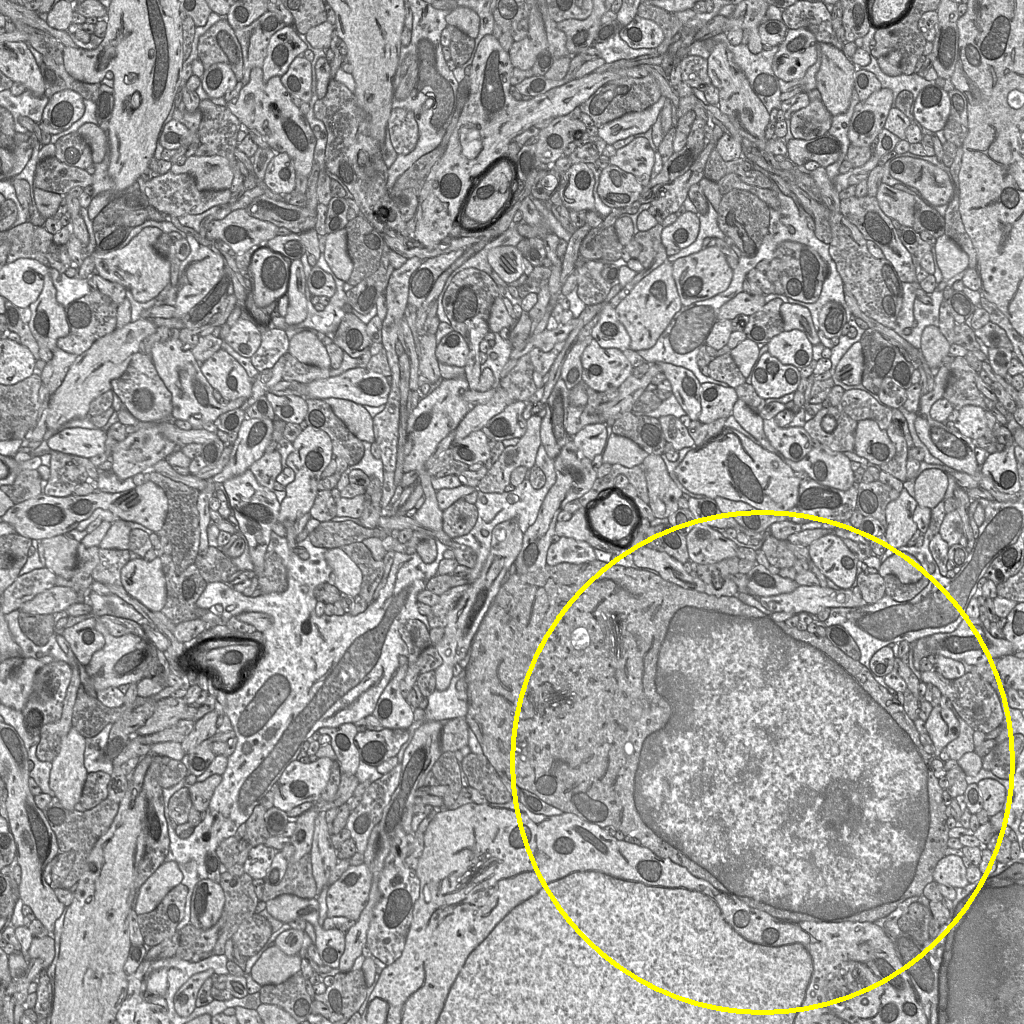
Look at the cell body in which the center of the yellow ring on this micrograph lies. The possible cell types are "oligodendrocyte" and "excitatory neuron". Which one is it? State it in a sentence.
The cell at the middle of the ring is an oligodendrocyte.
